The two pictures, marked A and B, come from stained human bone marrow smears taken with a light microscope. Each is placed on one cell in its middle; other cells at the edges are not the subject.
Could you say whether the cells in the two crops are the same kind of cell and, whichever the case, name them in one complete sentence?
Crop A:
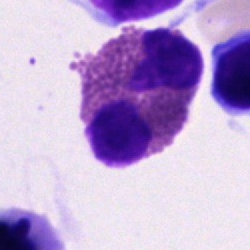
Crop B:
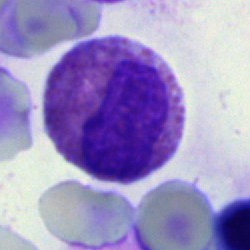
Yes, eosinophils are at the centre in both crops.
